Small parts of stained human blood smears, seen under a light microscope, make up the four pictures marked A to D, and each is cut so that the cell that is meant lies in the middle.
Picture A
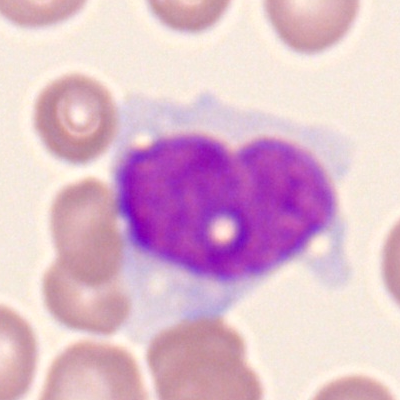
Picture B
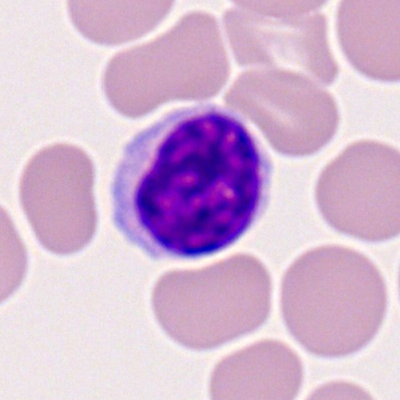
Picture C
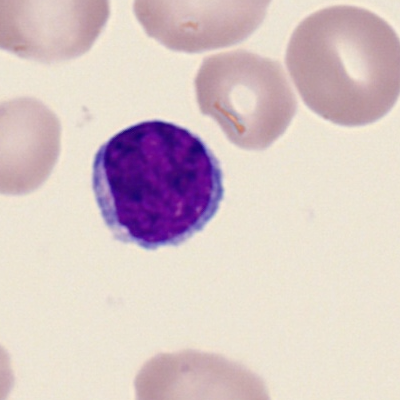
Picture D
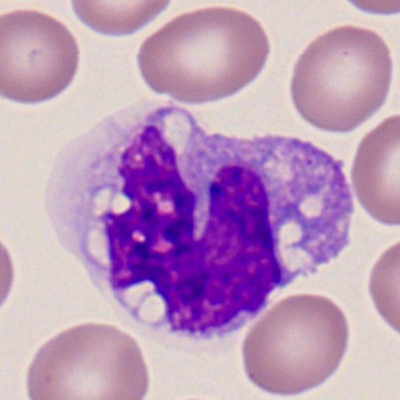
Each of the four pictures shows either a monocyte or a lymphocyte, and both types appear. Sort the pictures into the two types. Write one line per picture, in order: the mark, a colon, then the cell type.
A: monocyte
B: lymphocyte
C: lymphocyte
D: monocyte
